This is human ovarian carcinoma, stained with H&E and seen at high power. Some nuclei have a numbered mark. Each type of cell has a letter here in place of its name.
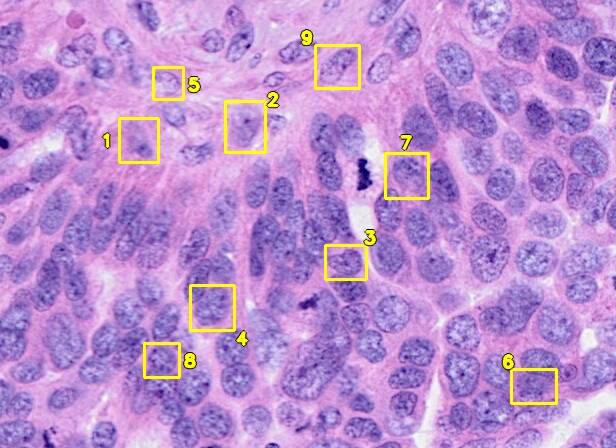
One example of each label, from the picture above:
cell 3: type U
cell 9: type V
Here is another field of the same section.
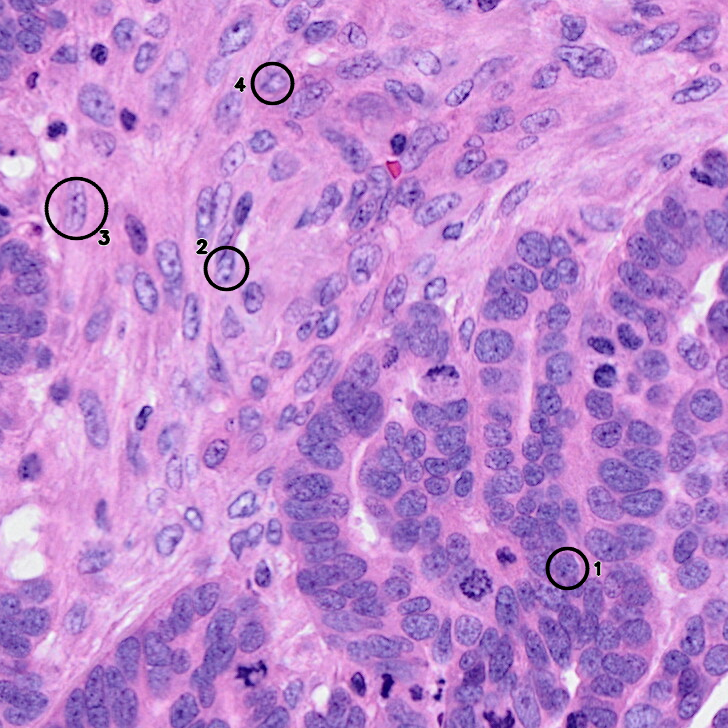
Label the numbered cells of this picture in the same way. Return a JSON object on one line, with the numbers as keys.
{"1": "type U", "2": "type V", "3": "type V", "4": "type V"}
